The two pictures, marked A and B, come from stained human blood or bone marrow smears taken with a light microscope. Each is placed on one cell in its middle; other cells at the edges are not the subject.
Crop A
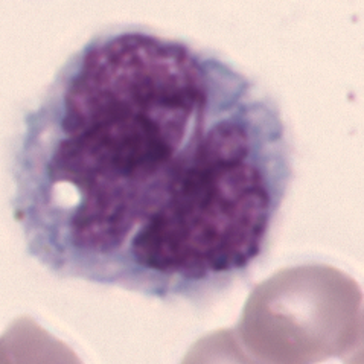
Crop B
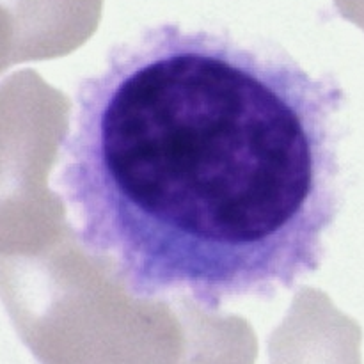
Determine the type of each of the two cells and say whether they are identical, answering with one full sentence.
No, whereas crop A shows a monocyte, crop B shows a hairy cell.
